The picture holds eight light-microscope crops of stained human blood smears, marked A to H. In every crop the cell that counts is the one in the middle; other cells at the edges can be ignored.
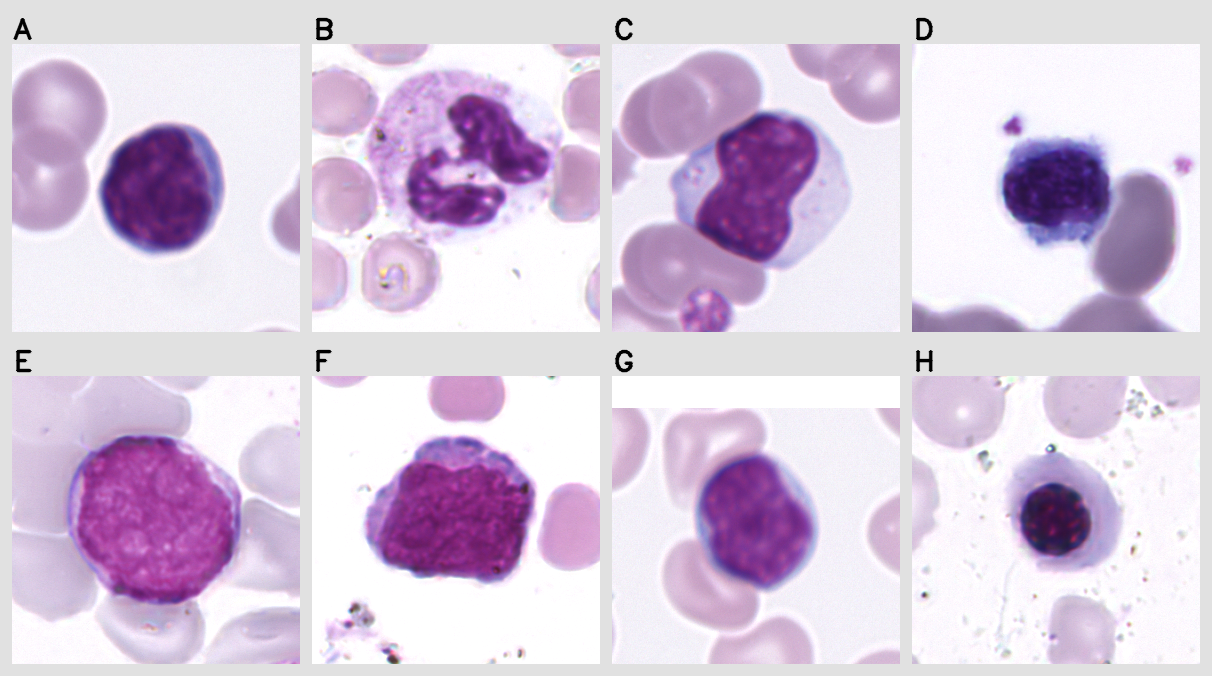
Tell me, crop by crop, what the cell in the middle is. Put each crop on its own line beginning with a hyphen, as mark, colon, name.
- A: typical lymphocyte
- B: neutrophil
- C: large granular lymphocyte
- D: plasma cell
- E: myeloblast
- F: atypical promyelocyte
- G: typical lymphocyte
- H: erythroblast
